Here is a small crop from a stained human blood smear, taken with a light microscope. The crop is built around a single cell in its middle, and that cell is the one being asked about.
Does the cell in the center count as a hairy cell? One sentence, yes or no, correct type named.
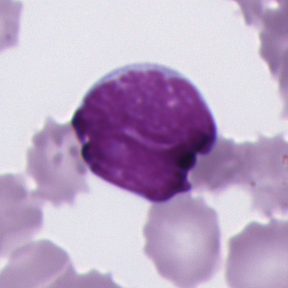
No, the centrally located cell is a myeloblast rather than a hairy cell.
